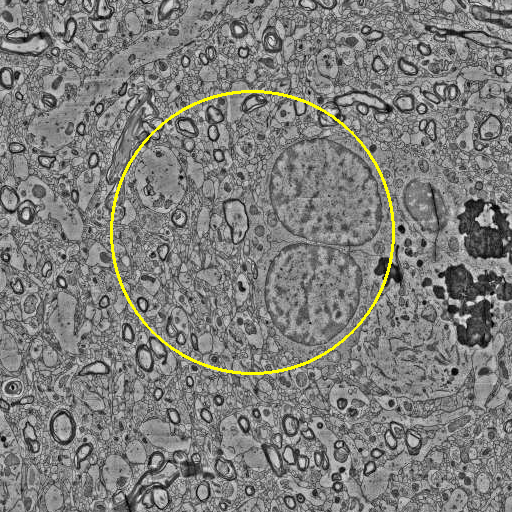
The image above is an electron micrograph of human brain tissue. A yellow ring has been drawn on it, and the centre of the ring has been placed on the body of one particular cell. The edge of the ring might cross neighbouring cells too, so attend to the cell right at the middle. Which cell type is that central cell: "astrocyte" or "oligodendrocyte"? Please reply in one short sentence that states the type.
The central cell in the ring is an oligodendrocyte.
